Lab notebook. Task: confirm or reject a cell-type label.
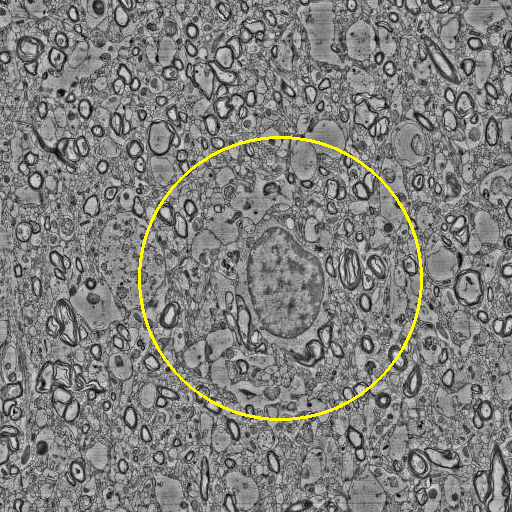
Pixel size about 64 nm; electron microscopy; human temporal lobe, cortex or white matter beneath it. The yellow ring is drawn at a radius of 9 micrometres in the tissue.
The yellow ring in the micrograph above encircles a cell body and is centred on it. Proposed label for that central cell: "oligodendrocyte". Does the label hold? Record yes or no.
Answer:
yes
